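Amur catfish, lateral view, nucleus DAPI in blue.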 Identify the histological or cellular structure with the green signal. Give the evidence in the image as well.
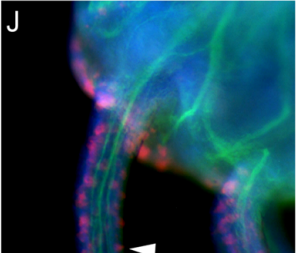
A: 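Peripheral nerve axons. Thin green lines run in parallel along the long appendage. The green lines extend from the head region into the appendage.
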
